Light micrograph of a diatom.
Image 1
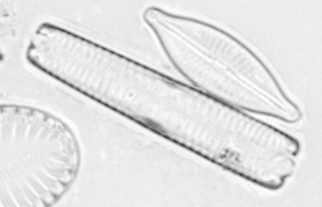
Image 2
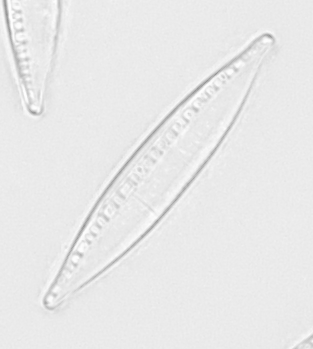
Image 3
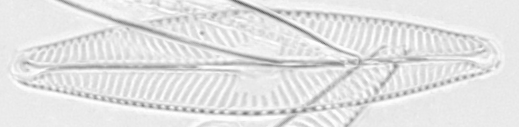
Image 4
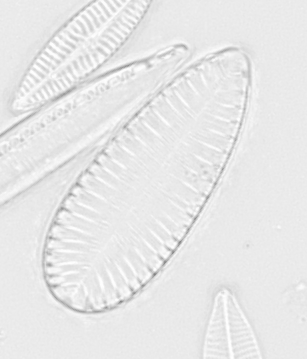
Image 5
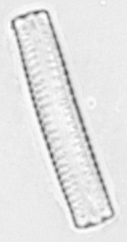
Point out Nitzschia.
That is picture 2.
